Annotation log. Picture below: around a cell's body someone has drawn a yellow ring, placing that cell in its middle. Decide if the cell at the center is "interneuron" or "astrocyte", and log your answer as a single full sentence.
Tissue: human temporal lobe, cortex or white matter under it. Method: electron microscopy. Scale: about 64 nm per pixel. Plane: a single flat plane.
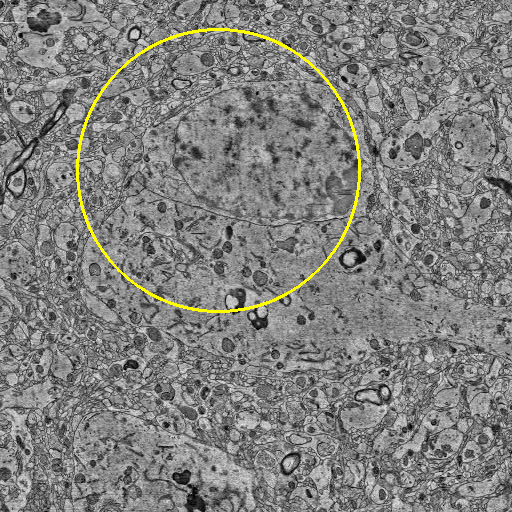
My entry records an interneuron as the cell sitting at the center of the yellow ring.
